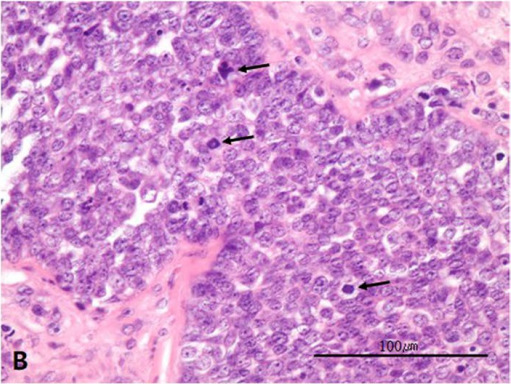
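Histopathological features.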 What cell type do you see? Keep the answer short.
Round monotonous tumor cells.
